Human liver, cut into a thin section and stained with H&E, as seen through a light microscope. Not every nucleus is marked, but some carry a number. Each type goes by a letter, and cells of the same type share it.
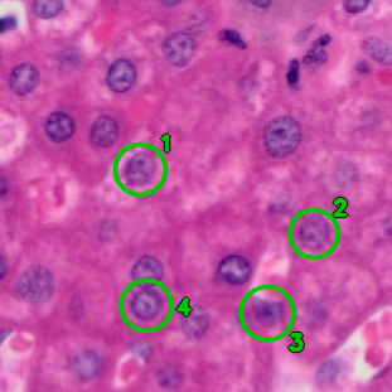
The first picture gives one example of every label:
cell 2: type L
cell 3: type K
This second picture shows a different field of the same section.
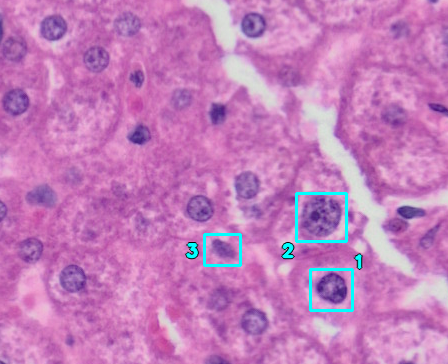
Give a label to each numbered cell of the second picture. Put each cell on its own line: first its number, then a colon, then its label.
1: type L
2: type L
3: type K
